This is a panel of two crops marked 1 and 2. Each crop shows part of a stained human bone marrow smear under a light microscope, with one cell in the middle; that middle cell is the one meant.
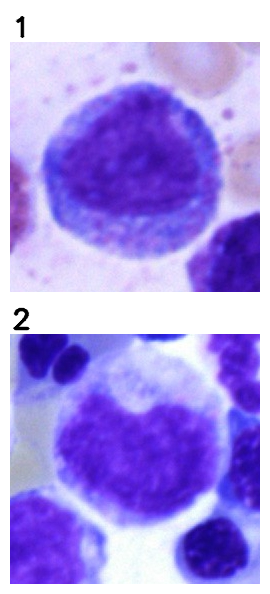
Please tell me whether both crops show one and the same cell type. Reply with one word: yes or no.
yes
